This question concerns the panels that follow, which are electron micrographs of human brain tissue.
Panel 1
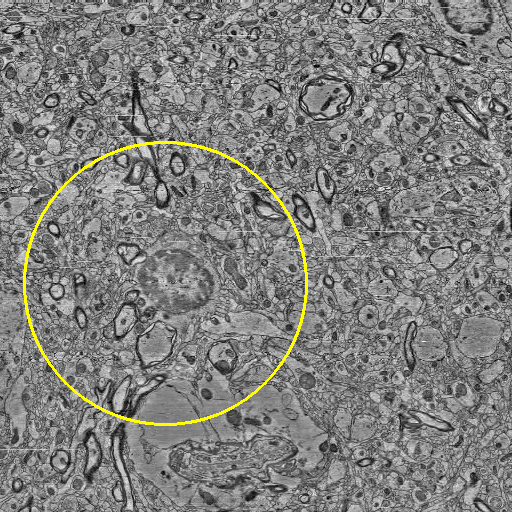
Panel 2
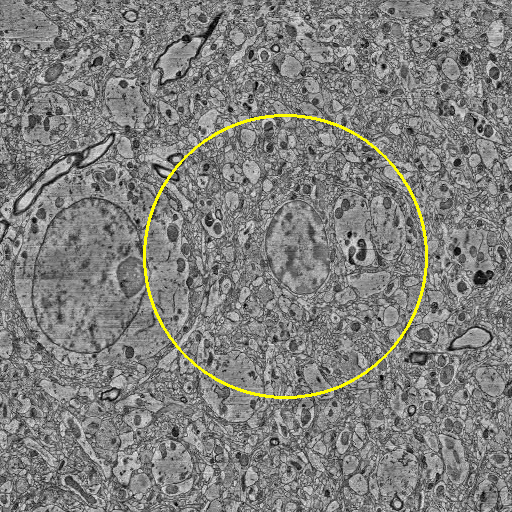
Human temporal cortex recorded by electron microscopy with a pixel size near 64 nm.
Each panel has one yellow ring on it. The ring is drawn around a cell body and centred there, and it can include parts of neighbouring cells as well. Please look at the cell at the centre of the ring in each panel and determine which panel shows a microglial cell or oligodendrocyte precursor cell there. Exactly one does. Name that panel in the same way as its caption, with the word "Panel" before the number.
Panel 2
